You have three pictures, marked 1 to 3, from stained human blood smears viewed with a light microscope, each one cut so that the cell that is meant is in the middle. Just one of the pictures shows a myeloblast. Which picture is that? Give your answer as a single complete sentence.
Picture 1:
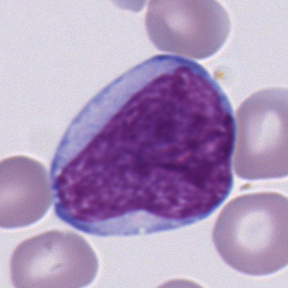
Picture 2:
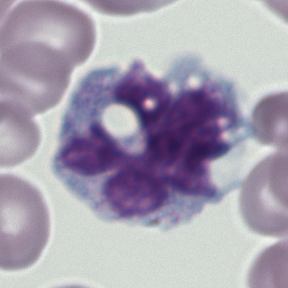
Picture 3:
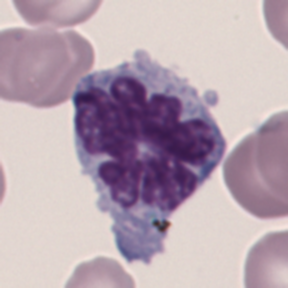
It is picture 1 that shows the myeloblast.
